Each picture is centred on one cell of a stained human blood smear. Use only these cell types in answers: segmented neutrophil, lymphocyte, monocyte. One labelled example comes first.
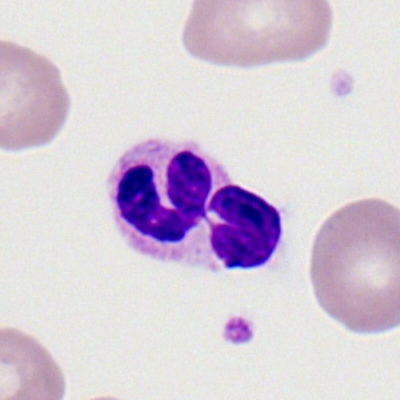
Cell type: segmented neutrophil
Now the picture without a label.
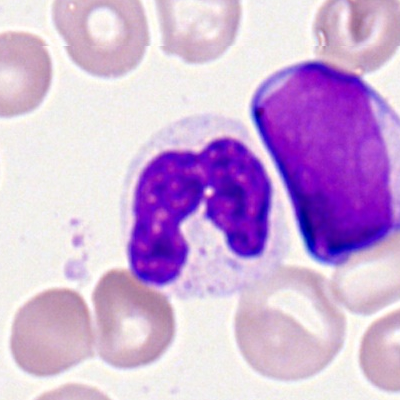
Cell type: segmented neutrophil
